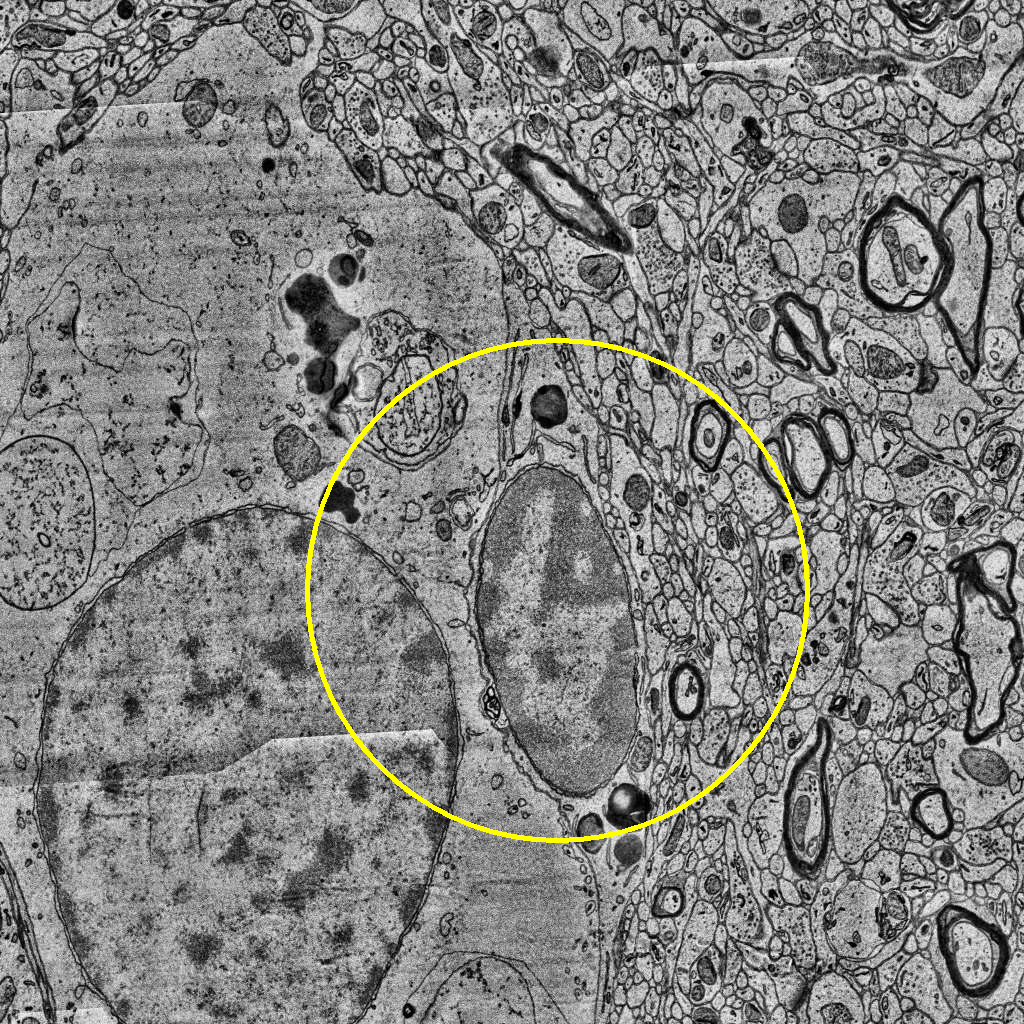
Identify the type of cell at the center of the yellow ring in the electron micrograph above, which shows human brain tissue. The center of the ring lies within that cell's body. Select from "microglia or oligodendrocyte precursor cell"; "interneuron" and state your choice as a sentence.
The center of the yellow ring lies in the body of a microglial cell or oligodendrocyte precursor cell.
